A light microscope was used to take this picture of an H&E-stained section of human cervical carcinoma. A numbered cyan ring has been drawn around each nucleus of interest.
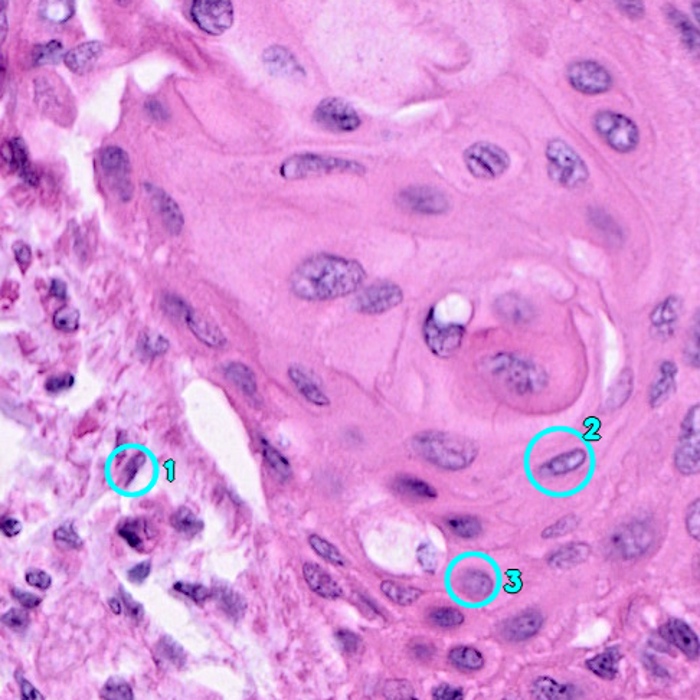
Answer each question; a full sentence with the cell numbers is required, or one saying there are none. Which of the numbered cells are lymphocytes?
The numbered cells, every one of them, are not lymphocytes.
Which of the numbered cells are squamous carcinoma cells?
The numbers 2 and 3 mark cells that are squamous carcinoma cells.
